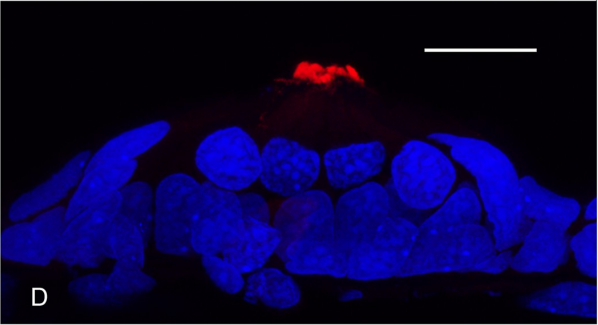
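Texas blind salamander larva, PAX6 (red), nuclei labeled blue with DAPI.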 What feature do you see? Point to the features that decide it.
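Elongated flattened nuclei flank the dome on both sides. A tuft projects from the centre of the dome's surface. That points to this answer: neuromasts.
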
